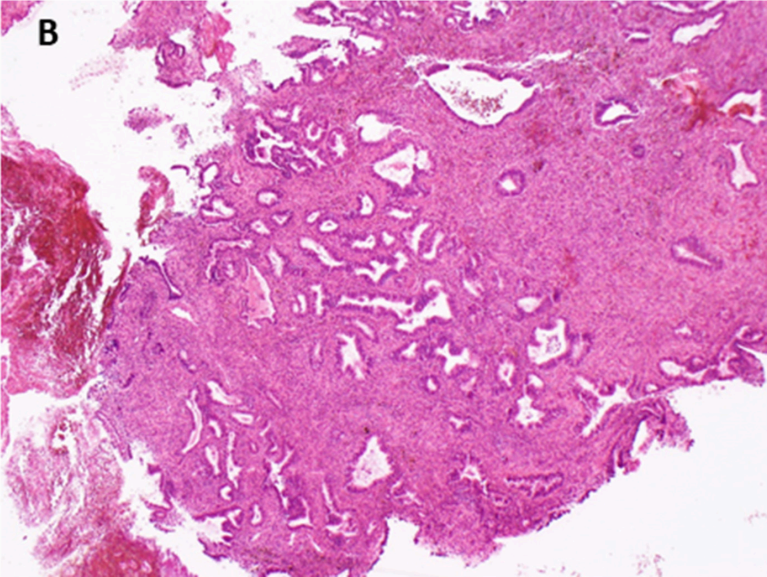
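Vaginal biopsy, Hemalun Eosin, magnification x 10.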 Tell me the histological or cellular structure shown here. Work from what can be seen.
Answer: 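Glands. Numerous gland lumina lined by a single epithelial layer. The glands vary in size and outline, some elongated, some rounded.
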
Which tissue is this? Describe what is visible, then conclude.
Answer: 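Endometrium. Many tubular and rounded glands lie scattered in a stroma. The stroma between the glands is dense and cellular.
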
